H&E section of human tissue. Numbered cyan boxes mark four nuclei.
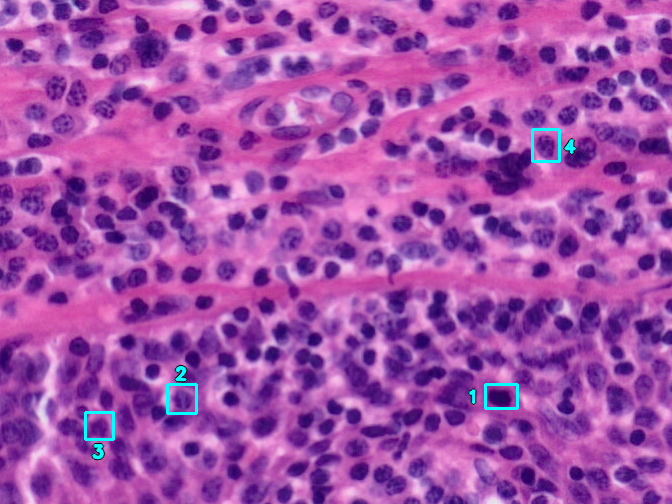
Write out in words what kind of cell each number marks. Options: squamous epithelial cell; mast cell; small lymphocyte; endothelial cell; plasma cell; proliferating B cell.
Cell 1 is a squamous epithelial cell, cell 2 is a squamous epithelial cell, cell 3 is a squamous epithelial cell and cell 4 is a plasma cell.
